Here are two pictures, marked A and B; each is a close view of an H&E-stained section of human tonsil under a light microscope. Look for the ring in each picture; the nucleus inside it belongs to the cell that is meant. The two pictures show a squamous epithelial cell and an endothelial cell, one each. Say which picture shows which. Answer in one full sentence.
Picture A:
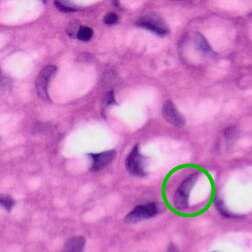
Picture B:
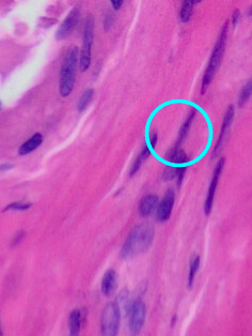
The cell in picture A is a squamous epithelial cell, and the one in picture B is an endothelial cell.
